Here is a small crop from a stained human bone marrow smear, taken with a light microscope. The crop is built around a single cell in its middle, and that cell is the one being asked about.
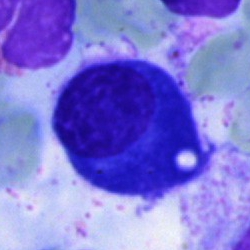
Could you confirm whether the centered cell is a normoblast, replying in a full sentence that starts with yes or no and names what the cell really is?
No, this is not a normoblast at all; the cell in the middle is a plasma cell.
